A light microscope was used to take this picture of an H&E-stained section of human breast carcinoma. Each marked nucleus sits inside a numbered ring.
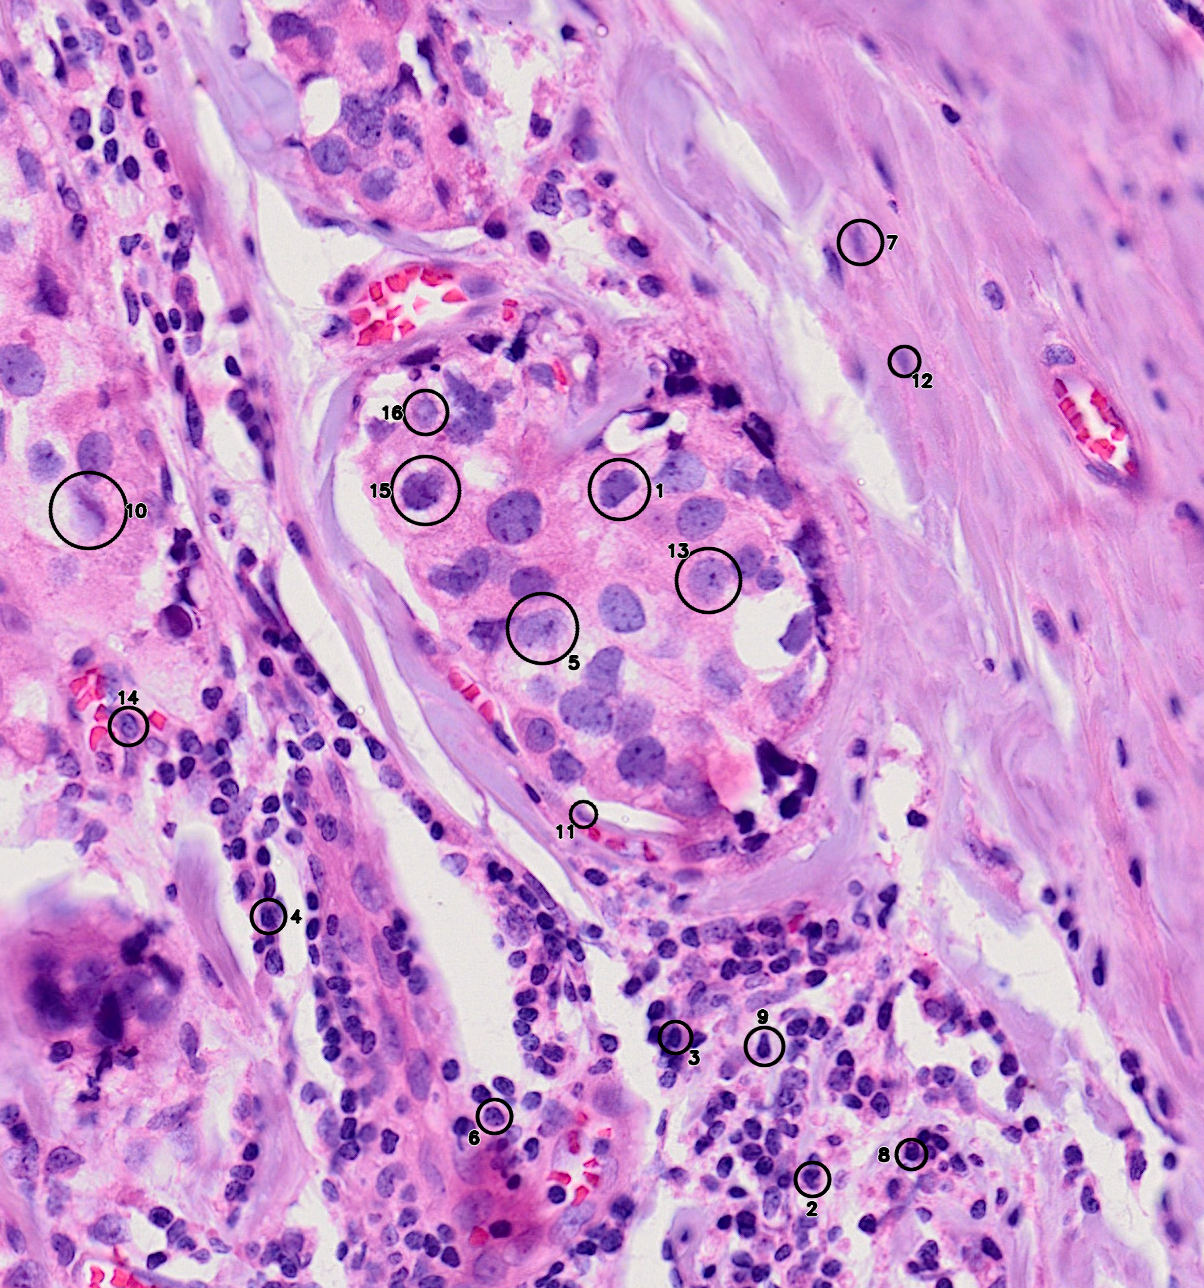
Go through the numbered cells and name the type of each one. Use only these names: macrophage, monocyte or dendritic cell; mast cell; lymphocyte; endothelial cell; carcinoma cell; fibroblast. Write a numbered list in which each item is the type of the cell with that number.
1. carcinoma cell
2. lymphocyte
3. lymphocyte
4. lymphocyte
5. carcinoma cell
6. lymphocyte
7. fibroblast
8. lymphocyte
9. lymphocyte
10. carcinoma cell
11. endothelial cell
12. fibroblast
13. carcinoma cell
14. endothelial cell
15. carcinoma cell
16. carcinoma cell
